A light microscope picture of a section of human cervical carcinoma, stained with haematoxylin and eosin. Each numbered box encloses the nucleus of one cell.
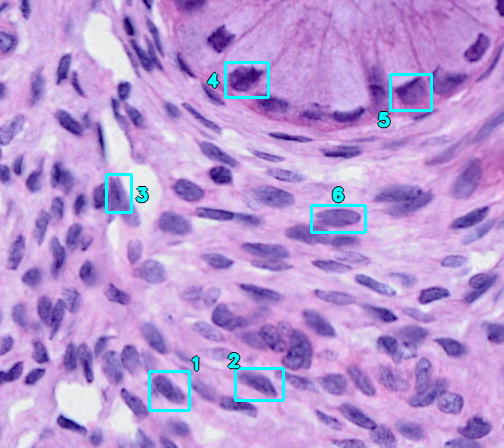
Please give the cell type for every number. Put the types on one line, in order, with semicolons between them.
fibroblast; fibroblast; endothelial cell; secretory epithelial cell; secretory epithelial cell; fibroblast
